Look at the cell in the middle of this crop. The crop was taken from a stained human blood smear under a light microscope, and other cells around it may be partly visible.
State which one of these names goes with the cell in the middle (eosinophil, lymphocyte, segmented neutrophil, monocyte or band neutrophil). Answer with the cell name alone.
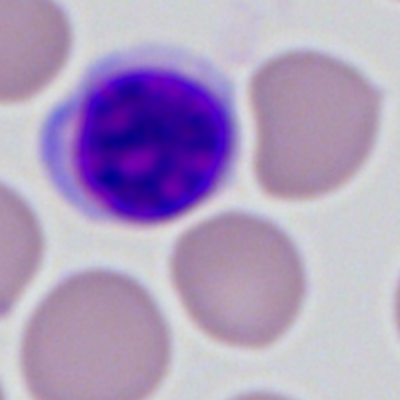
lymphocyte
